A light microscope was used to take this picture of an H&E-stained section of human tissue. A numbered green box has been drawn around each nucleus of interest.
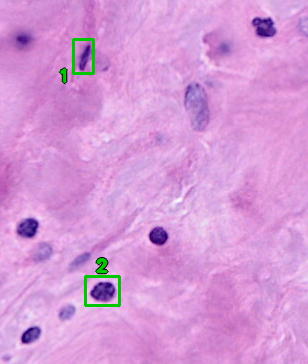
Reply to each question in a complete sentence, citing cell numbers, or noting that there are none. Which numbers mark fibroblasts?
Among the numbered cells, cell 1 alone is a fibroblast.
